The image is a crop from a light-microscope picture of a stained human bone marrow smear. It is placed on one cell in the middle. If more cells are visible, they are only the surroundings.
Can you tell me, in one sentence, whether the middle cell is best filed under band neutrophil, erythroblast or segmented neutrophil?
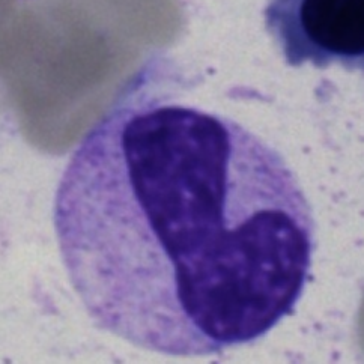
Where the crop is centred, there is a band neutrophil.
